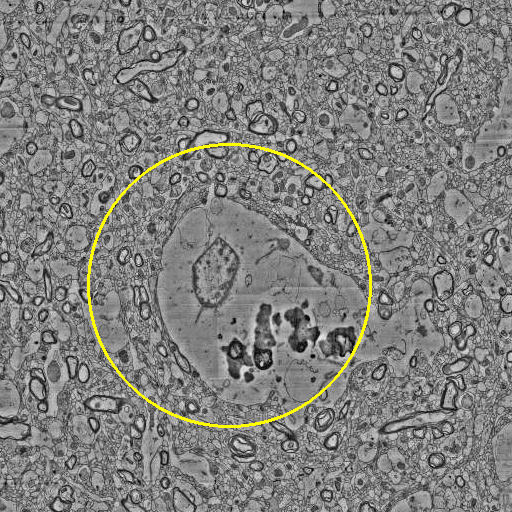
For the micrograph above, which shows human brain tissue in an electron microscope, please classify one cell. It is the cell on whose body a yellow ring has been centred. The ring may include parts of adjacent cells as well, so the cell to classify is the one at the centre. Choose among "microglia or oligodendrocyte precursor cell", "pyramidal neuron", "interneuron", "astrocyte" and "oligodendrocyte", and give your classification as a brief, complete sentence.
I classify this cell as an astrocyte.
